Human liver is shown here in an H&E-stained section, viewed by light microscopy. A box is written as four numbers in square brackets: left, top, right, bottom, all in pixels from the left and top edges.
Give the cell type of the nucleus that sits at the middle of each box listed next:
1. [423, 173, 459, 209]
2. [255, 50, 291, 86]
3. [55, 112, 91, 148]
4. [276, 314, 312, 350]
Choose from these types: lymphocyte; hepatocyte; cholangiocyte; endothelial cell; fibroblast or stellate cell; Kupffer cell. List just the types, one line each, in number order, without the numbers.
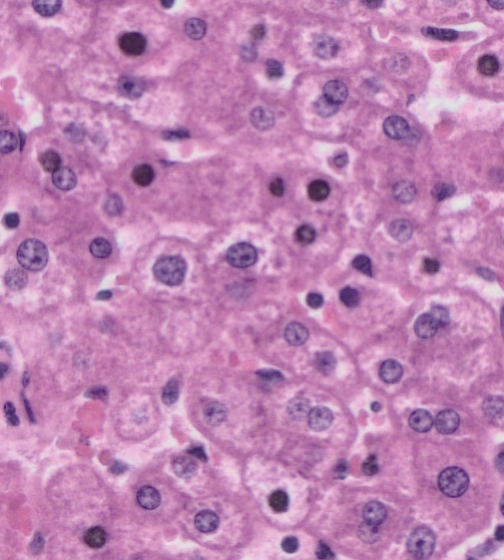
fibroblast or stellate cell
Kupffer cell
hepatocyte
hepatocyte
